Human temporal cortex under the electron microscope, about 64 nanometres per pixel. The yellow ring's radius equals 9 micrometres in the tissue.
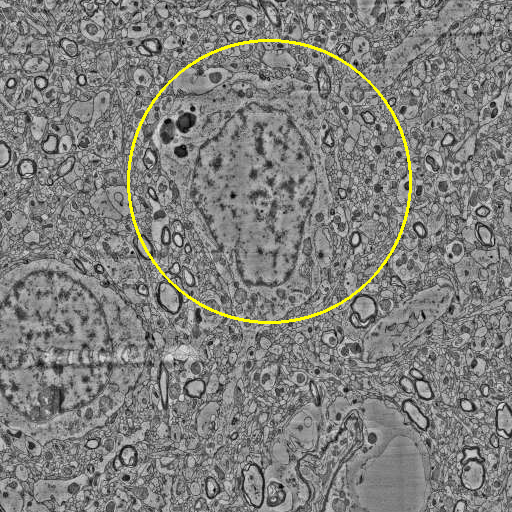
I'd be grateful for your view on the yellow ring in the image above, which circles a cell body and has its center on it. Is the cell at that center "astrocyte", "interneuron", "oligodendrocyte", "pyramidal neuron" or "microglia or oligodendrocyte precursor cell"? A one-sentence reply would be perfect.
The cell at the center of the yellow ring is an interneuron.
